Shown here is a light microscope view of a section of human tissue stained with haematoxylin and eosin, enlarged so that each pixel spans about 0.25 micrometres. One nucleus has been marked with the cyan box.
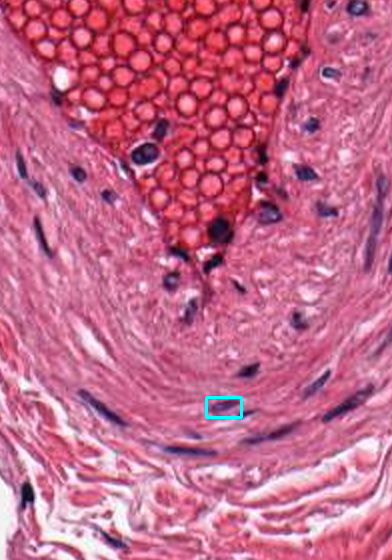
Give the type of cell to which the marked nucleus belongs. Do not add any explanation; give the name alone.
smooth muscle cell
